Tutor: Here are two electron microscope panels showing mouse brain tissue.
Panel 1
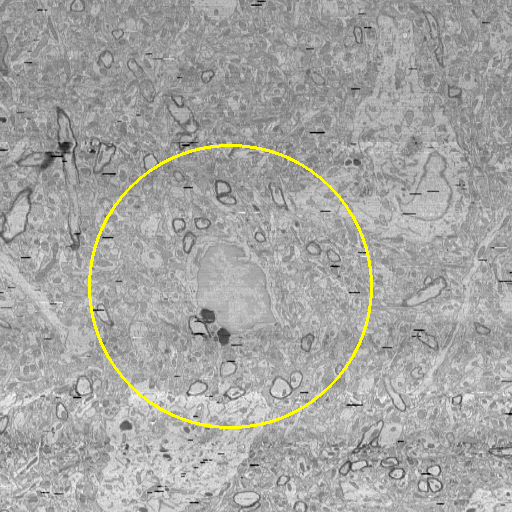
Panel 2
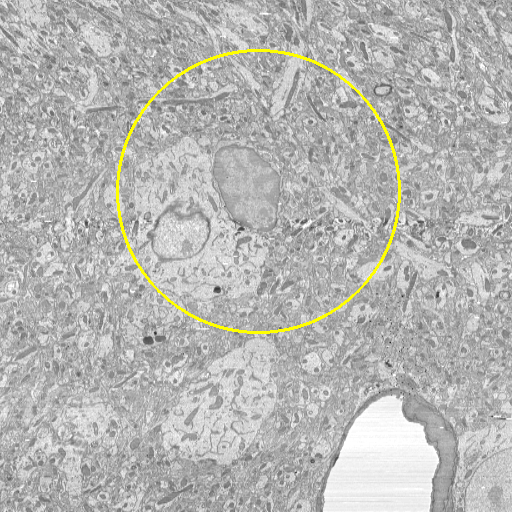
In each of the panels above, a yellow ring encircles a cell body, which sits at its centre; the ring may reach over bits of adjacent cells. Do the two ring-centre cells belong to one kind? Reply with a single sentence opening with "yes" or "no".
Yes, the two cells sitting at the ring centres in the panels belong to one kind.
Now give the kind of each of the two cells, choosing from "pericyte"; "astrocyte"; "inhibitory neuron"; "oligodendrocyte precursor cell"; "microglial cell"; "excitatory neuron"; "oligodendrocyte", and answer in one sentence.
In the first picture and in the second, the ring is centred on a microglial cell.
